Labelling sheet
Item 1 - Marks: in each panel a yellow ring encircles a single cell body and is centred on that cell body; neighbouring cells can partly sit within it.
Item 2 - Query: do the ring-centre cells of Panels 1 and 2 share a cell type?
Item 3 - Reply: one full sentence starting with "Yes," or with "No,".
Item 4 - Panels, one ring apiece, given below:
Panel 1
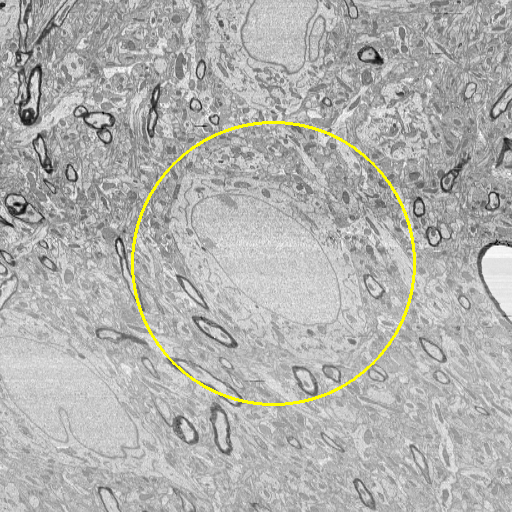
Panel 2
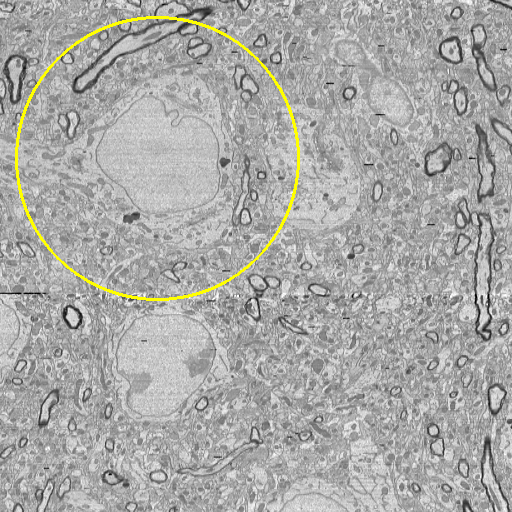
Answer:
Yes, Panel 1 and Panel 2 show one cell type at the centres of their rings.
